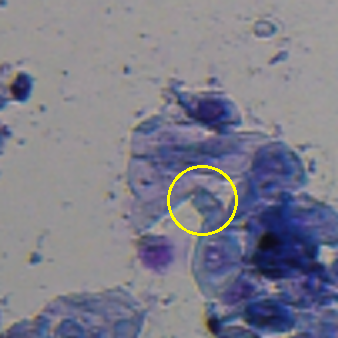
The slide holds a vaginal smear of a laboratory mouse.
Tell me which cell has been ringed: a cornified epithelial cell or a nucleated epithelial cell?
It is a cornified epithelial cell.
